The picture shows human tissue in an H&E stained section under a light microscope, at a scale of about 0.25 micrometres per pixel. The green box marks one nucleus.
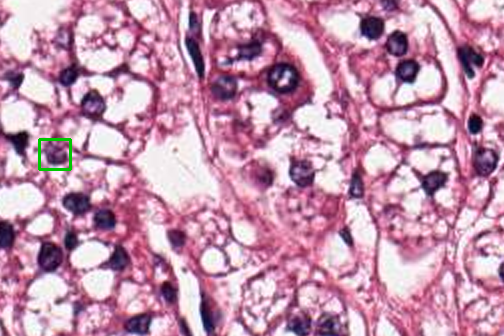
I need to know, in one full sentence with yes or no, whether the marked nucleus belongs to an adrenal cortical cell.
Yes, the marked nucleus sits in an adrenal cortical cell.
